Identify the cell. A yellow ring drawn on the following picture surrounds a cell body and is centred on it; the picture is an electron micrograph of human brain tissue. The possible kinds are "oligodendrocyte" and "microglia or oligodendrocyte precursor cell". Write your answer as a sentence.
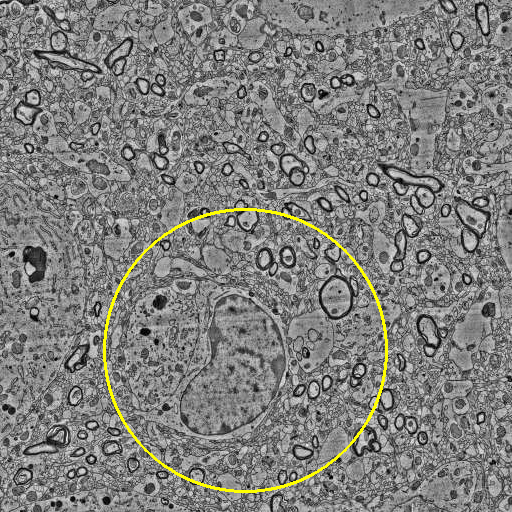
The cell identified by the ring is a microglial cell or oligodendrocyte precursor cell.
